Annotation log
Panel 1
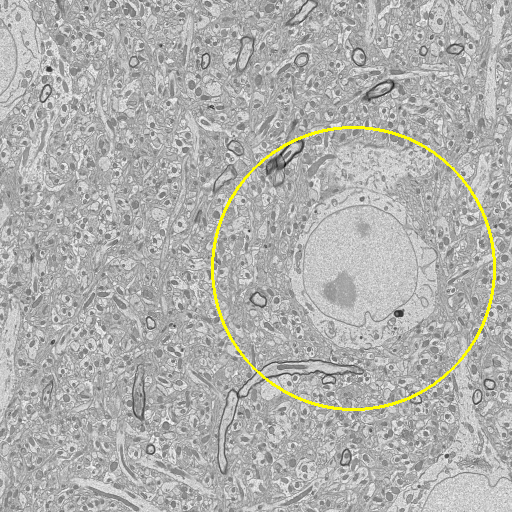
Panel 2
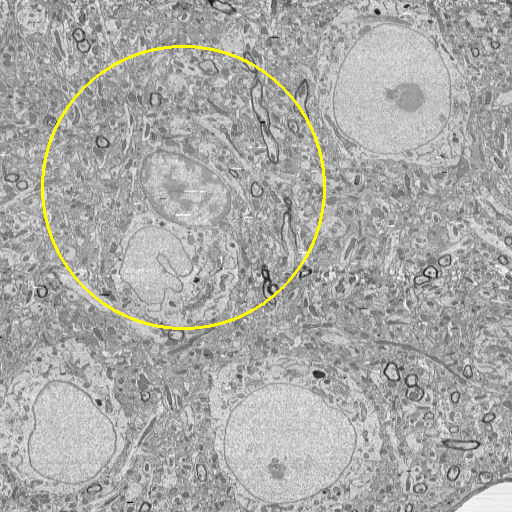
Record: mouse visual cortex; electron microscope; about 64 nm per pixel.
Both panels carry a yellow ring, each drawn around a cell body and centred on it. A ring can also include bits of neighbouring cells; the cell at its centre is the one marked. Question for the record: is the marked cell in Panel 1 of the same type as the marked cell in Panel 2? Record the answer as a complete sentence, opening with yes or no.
No, the marked cells in Panel 1 and Panel 2 are of two types.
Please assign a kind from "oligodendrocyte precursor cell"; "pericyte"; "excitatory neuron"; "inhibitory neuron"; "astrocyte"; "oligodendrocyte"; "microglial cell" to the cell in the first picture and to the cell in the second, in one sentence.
In the first picture we have an excitatory neuron, and in the second, an oligodendrocyte.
